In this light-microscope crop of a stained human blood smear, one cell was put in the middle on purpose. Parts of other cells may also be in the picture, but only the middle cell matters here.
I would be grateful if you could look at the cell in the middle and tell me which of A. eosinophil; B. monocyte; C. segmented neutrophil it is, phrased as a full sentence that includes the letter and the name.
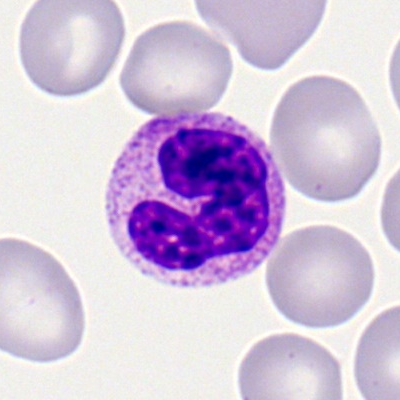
Option C correctly names the cell in the middle as a segmented neutrophil.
